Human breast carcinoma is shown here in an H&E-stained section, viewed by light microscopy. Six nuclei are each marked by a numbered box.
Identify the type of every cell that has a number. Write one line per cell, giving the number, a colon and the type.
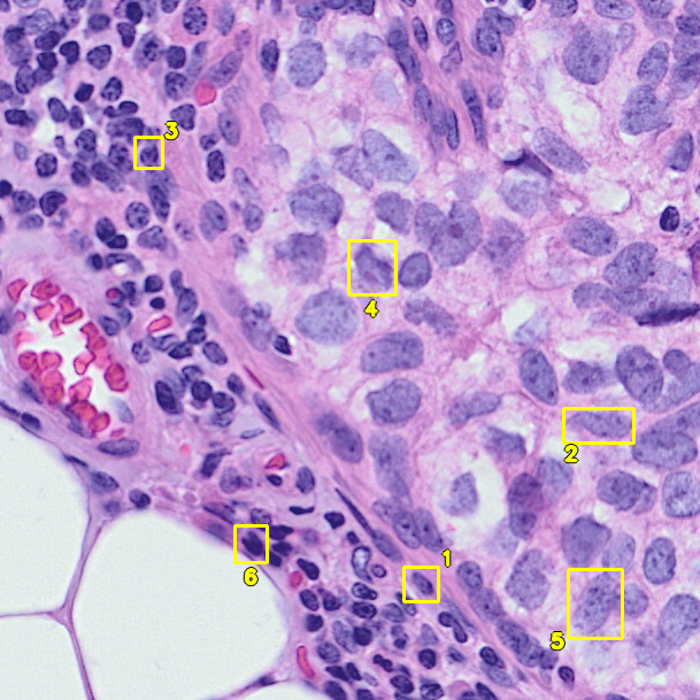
1: lymphocyte
2: carcinoma cell
3: lymphocyte
4: carcinoma cell
5: carcinoma cell
6: lymphocyte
